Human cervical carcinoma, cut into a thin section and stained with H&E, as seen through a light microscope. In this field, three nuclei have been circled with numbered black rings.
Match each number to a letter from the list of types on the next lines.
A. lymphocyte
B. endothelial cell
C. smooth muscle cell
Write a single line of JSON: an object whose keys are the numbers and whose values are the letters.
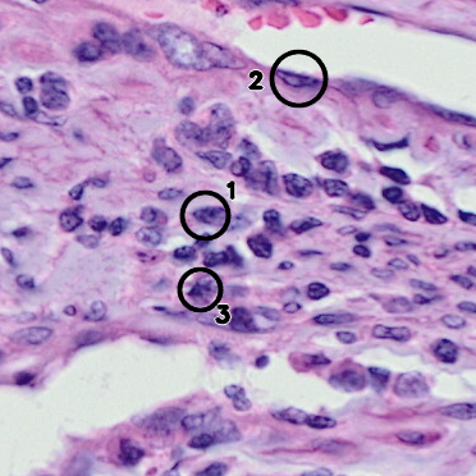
{"1": "A", "2": "B", "3": "A"}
